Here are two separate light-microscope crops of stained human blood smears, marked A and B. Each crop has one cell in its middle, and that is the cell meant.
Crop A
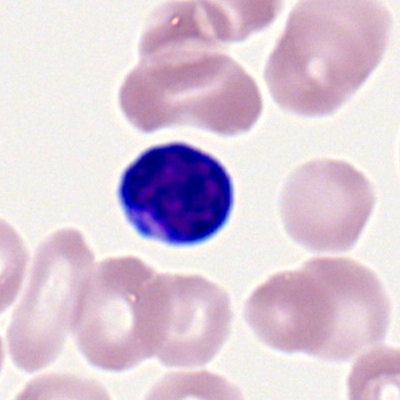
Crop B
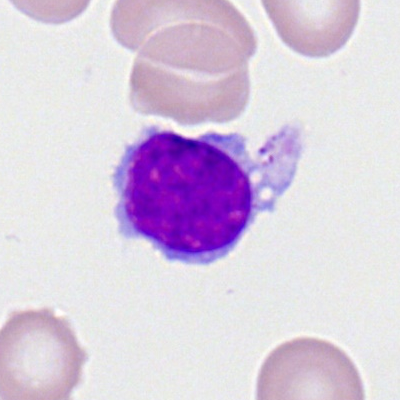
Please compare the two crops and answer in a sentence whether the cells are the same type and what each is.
Yes, both crops show lymphocytes as their central cells.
